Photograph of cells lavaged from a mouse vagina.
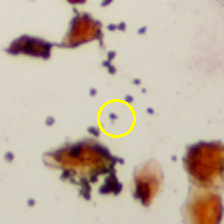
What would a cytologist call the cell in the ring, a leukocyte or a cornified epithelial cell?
A cytologist would call it a leukocyte.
